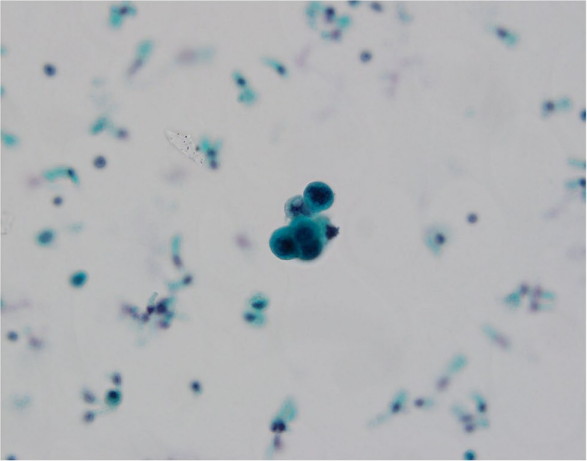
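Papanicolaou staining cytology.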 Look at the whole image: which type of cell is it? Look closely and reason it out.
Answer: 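A small cluster of cells in the centre has large, round, dark blue-green nuclei. These cells are much larger than the small scattered cells around them. On this evidence: cancer cells.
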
